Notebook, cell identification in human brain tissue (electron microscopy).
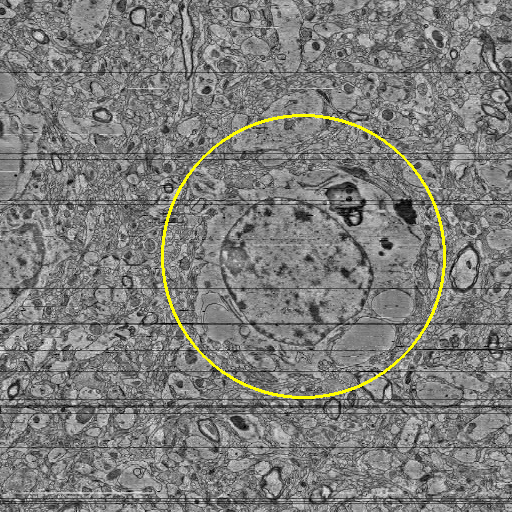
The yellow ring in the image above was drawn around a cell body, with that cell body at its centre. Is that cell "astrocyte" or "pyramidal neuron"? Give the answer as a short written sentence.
The cell in the ring is an astrocyte.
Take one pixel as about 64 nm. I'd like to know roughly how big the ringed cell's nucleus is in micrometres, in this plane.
In this plane, approximately 10 micrometres across.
